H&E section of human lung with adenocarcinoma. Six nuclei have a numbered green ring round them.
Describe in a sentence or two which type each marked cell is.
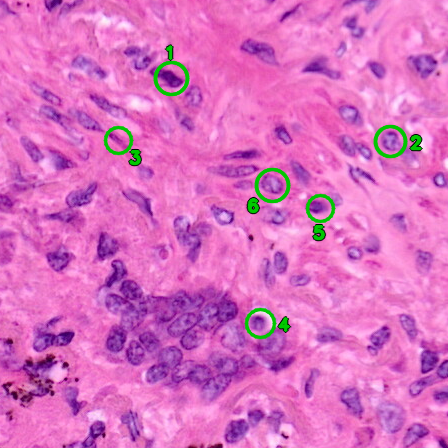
Cell 1 is a plasma cell, cell 2 is a mast cell, cell 3 is a smooth muscle cell or pericyte, cell 4 is a lymphocyte, cell 5 is a smooth muscle cell or pericyte and cell 6 is a smooth muscle cell or pericyte.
